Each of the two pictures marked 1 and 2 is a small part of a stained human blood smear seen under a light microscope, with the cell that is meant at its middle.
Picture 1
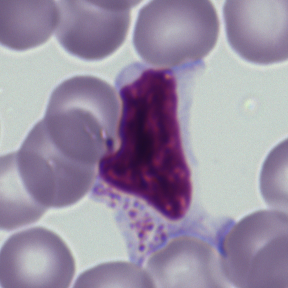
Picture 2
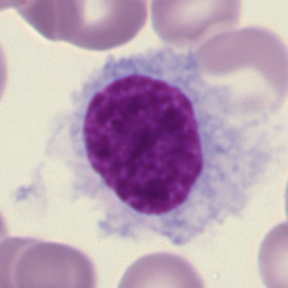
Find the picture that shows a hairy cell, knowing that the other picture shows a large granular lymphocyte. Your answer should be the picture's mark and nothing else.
2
